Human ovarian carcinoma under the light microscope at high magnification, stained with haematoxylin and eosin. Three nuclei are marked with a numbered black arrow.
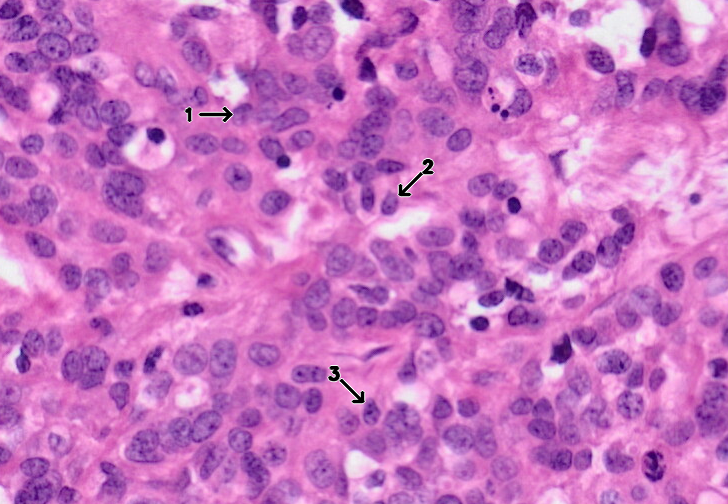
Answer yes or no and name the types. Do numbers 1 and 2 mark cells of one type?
No, cell 1 is a carcinoma cell; as for cell 2, that one is a macrophage or monocyte.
